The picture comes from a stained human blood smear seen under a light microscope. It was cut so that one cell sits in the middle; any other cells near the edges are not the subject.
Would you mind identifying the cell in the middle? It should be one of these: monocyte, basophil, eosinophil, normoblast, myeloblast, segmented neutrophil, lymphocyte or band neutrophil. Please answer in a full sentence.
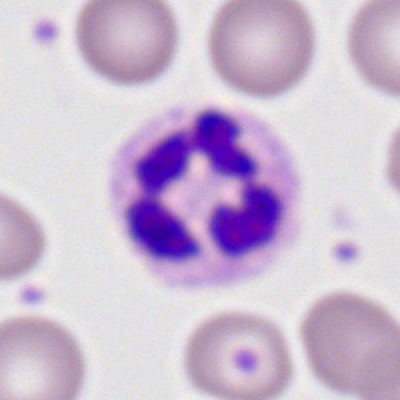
The centrally located cell in the crop is a segmented neutrophil.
